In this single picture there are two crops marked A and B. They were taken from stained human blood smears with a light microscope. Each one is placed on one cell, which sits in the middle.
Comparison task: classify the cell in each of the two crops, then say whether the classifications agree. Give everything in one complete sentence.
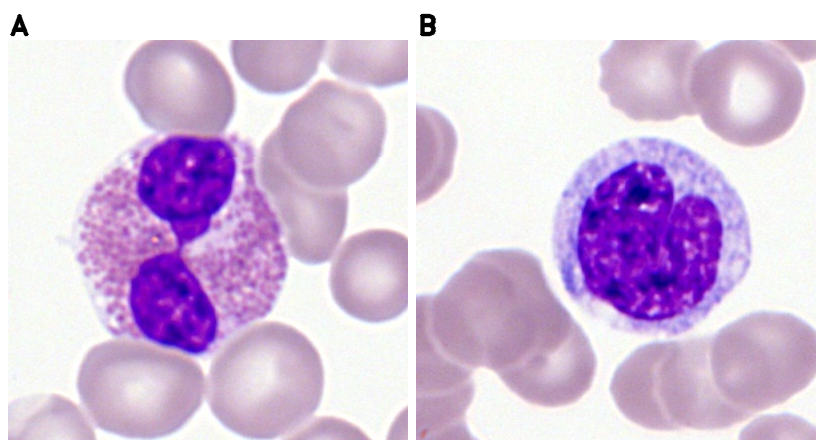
No, it is crop A that shows an eosinophil, and crop B that shows a monocyte.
